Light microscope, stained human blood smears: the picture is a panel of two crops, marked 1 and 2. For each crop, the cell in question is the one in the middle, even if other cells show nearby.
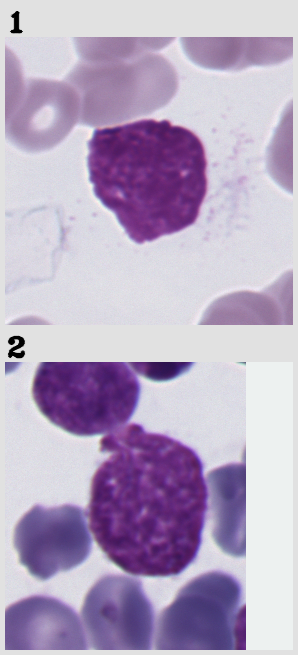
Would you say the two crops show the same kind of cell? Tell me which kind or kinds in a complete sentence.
No, look again: crop 1 shows a smudge cell, and crop 2 shows a myeloblast.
